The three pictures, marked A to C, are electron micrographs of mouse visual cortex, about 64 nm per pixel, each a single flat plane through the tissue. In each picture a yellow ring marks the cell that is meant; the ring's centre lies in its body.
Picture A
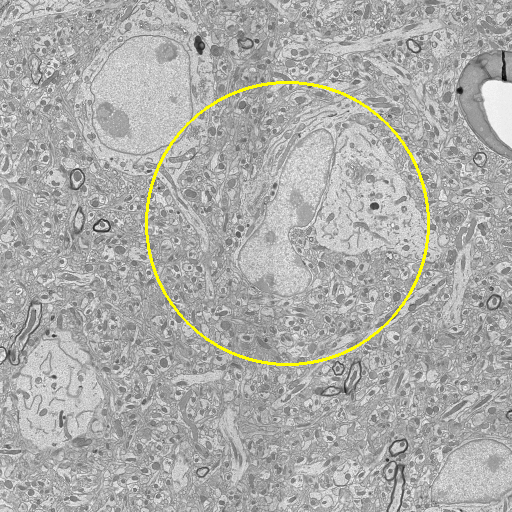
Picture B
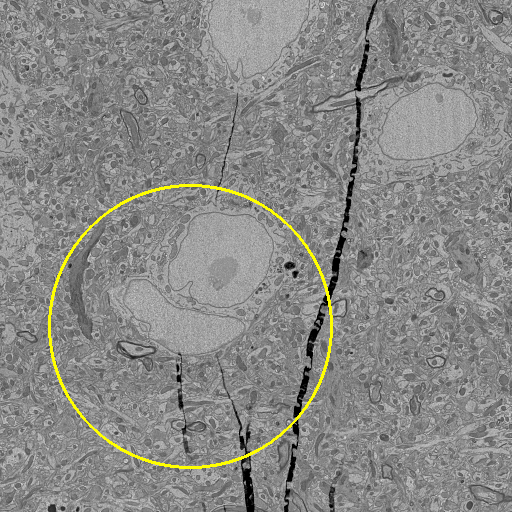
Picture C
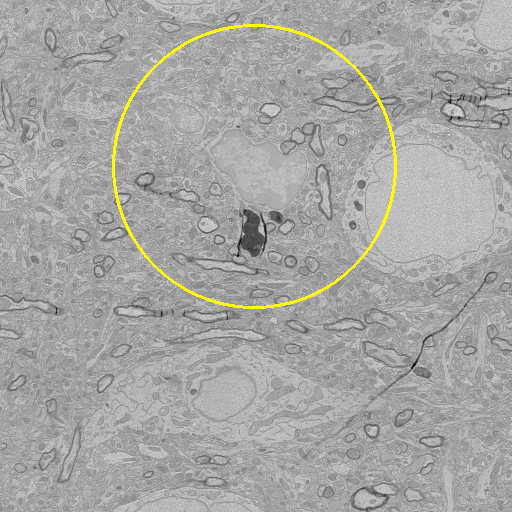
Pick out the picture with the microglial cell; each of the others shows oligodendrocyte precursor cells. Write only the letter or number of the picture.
C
